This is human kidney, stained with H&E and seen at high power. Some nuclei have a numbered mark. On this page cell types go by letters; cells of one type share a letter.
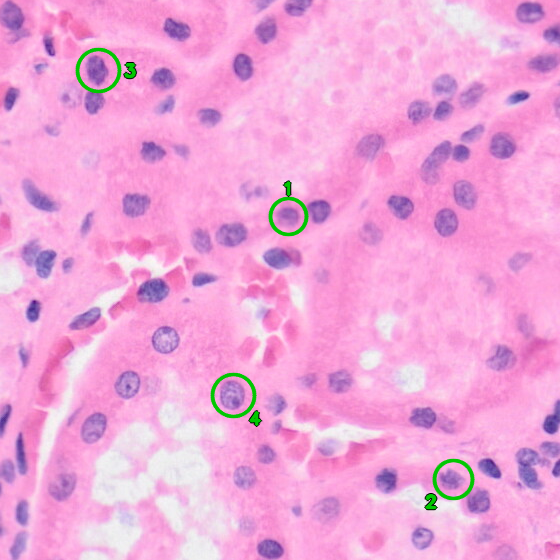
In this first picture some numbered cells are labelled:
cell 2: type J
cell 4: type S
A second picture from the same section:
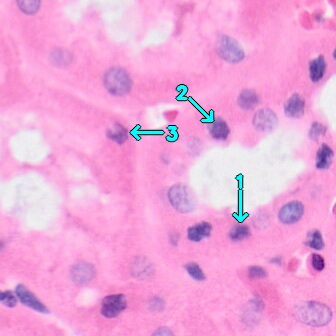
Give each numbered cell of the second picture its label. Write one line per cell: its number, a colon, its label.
1: type J
2: type J
3: type S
